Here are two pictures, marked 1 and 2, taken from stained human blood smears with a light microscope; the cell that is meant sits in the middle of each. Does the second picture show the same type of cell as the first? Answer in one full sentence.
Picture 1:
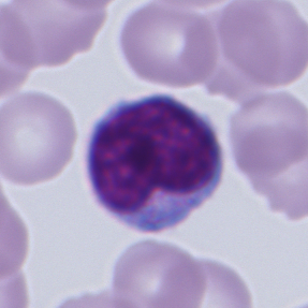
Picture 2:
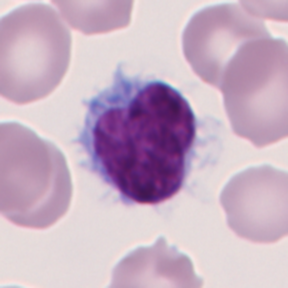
No, they differ: the cell is a typical lymphocyte in picture 1 and a hairy cell in picture 2.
